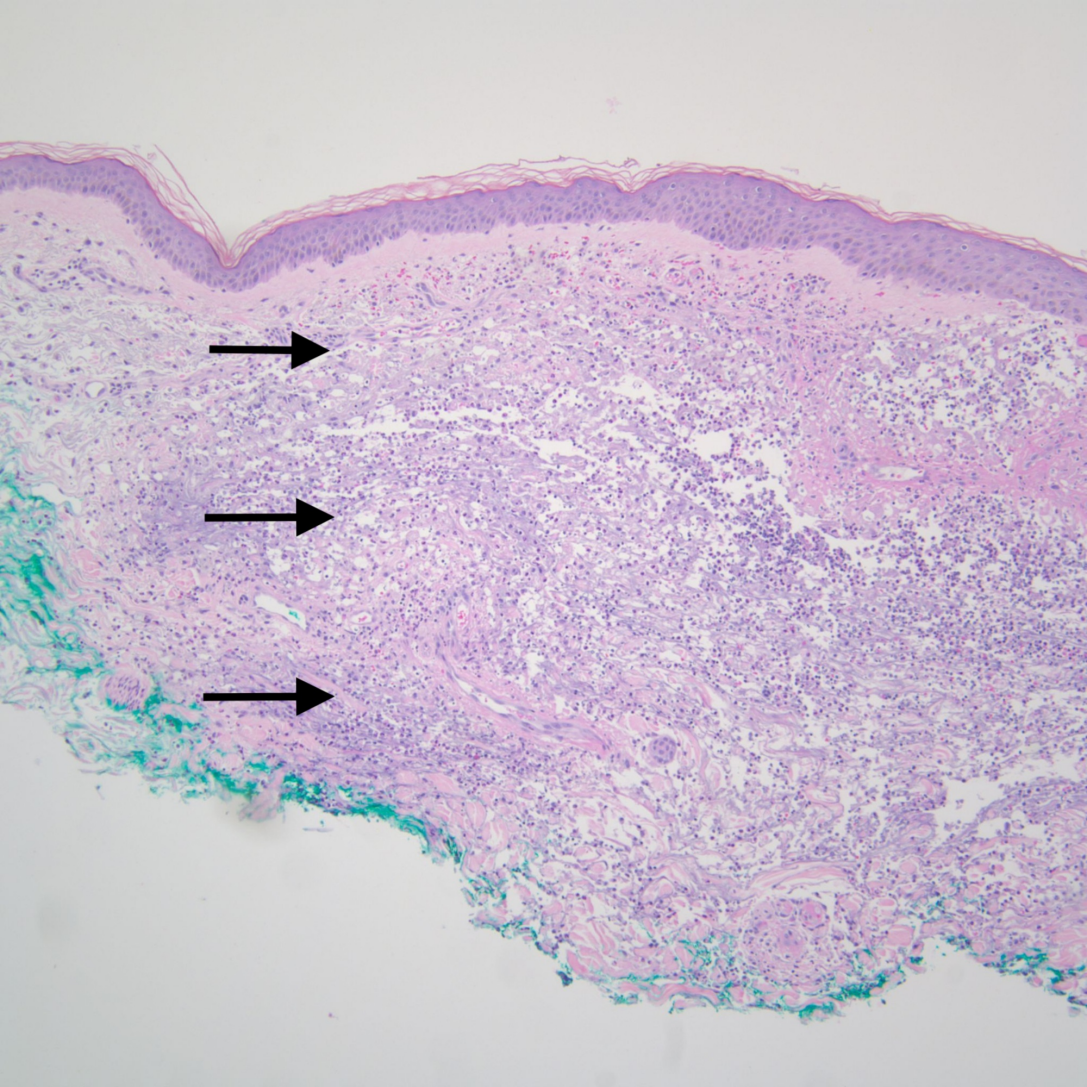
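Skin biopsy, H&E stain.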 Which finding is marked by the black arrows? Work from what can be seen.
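The arrows point into a broad dermal zone crowded with small, dark purple nuclei. The dense cellular zone lies beneath an intact epidermis and fills much of the dermis.
Inflammatory infiltrates.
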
